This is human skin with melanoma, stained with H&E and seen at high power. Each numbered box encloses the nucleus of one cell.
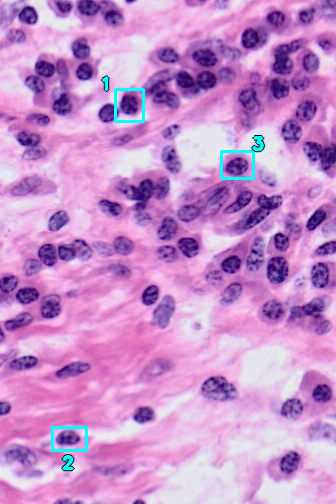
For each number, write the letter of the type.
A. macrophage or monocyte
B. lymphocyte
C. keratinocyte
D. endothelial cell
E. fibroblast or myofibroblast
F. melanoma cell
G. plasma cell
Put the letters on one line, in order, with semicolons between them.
G; B; G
